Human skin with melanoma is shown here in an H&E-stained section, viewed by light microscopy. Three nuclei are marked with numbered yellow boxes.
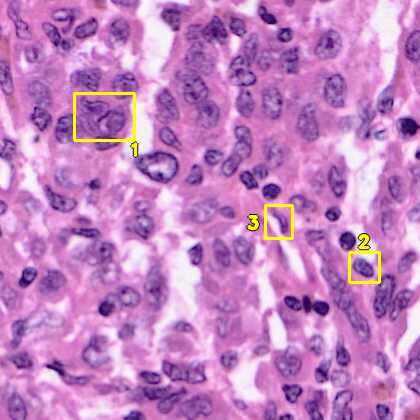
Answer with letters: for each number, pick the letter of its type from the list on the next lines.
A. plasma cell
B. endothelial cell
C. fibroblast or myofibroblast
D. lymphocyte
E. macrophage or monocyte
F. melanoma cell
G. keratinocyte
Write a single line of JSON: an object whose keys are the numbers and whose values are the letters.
{"1": "F", "2": "D", "3": "B"}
